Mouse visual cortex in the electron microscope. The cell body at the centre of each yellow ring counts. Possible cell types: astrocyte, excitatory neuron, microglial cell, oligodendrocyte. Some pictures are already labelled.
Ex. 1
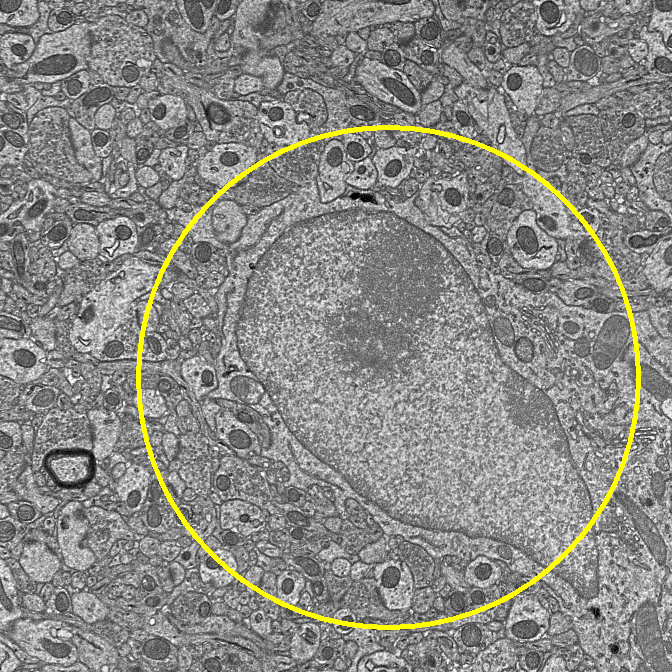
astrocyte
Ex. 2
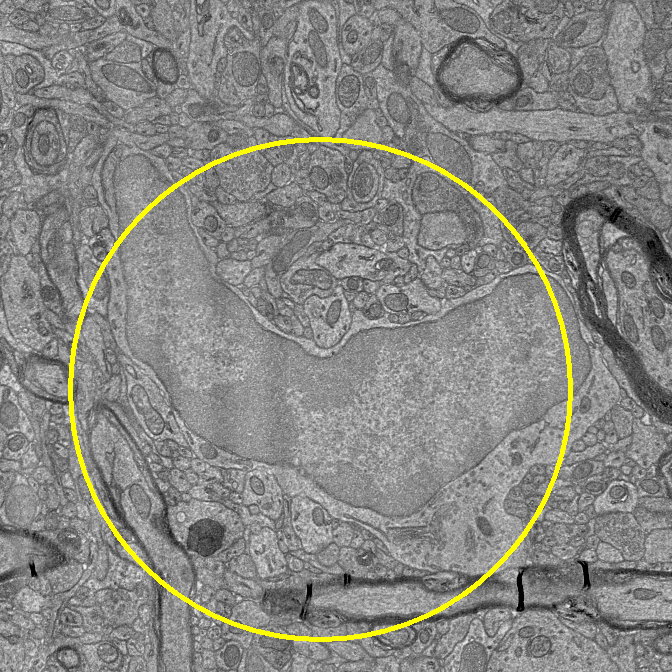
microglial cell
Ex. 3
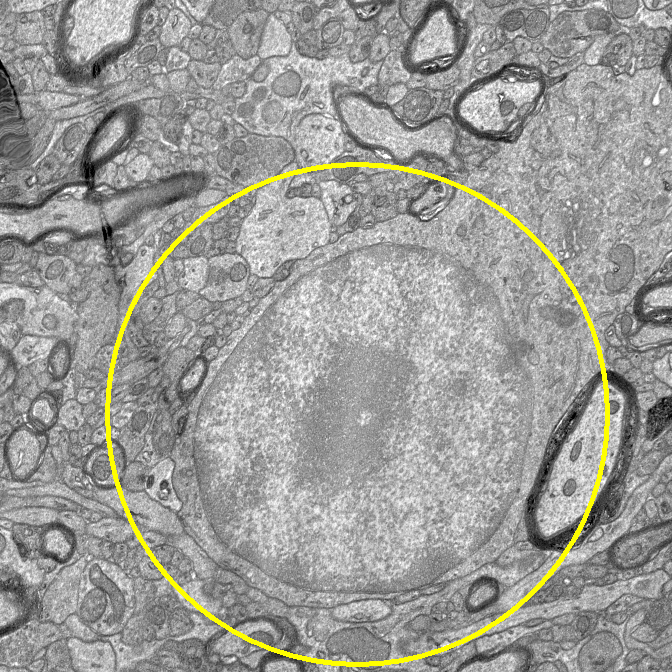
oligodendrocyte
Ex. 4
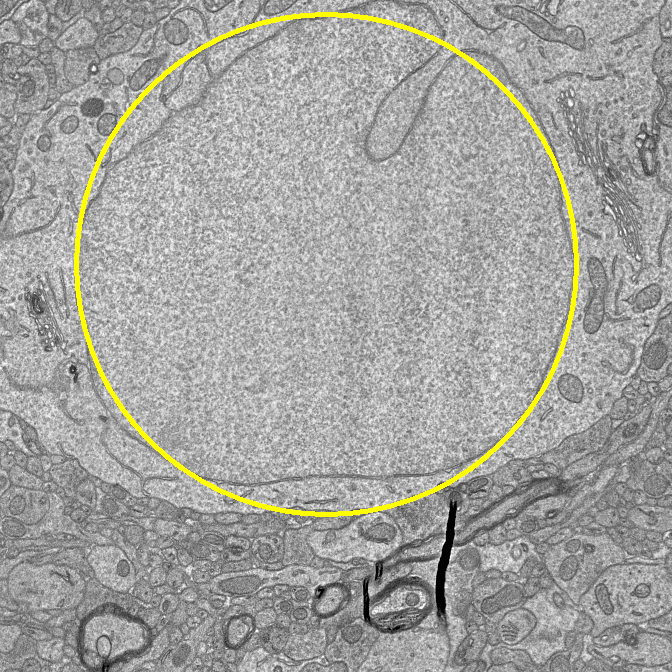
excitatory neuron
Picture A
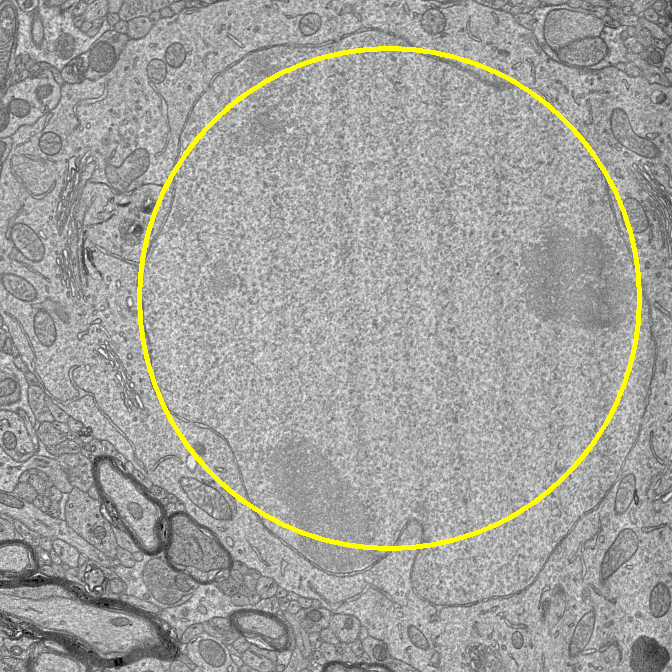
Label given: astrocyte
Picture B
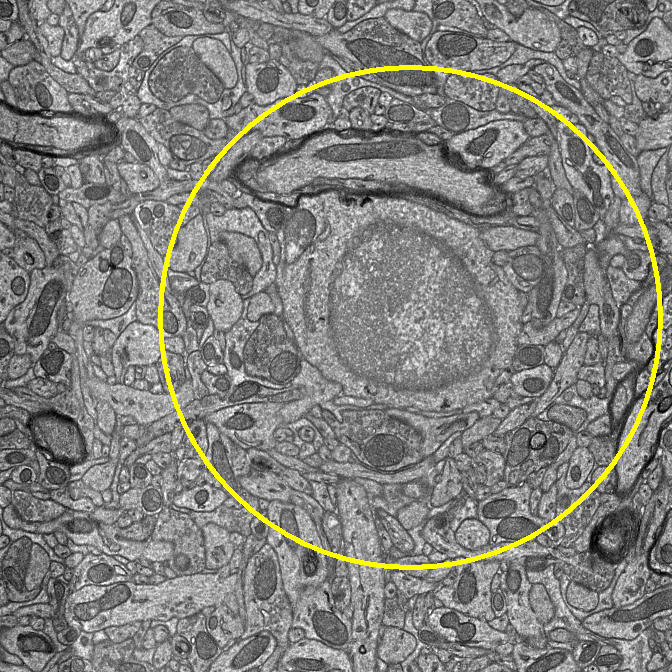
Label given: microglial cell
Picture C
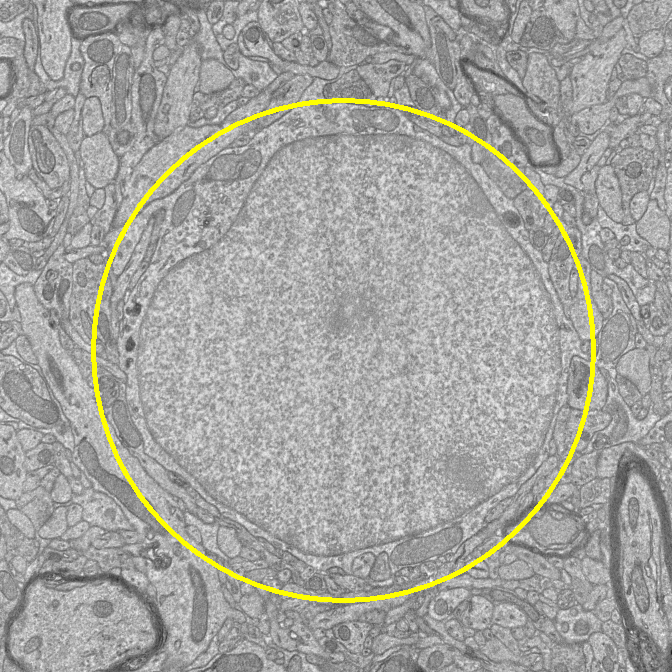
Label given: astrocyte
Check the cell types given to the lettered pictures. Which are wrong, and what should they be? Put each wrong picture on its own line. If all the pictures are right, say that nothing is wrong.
A is labelled astrocyte; correct label: excitatory neuron
B is labelled microglial cell; correct label: oligodendrocyte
